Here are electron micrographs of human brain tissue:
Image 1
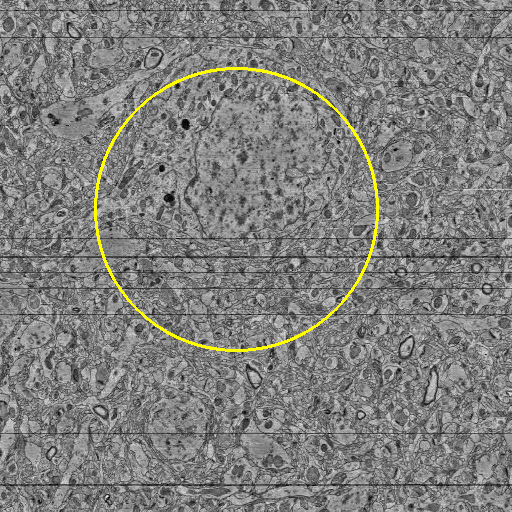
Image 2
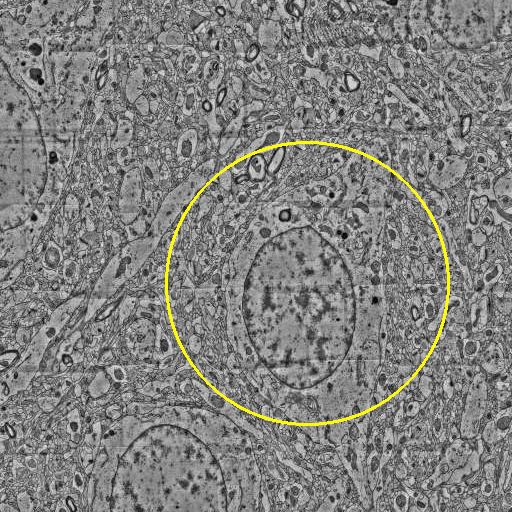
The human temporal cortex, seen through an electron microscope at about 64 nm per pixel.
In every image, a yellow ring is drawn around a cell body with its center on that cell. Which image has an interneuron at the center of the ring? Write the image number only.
1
